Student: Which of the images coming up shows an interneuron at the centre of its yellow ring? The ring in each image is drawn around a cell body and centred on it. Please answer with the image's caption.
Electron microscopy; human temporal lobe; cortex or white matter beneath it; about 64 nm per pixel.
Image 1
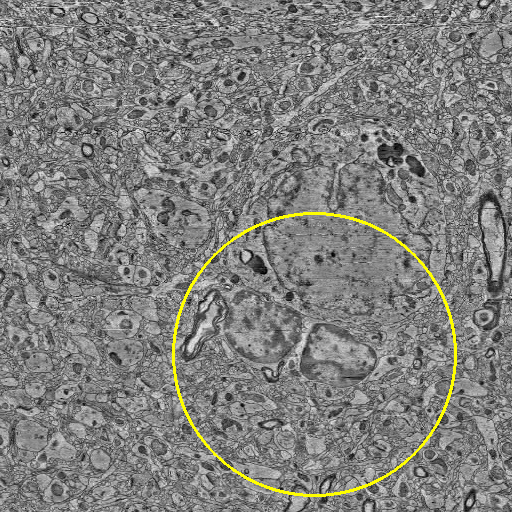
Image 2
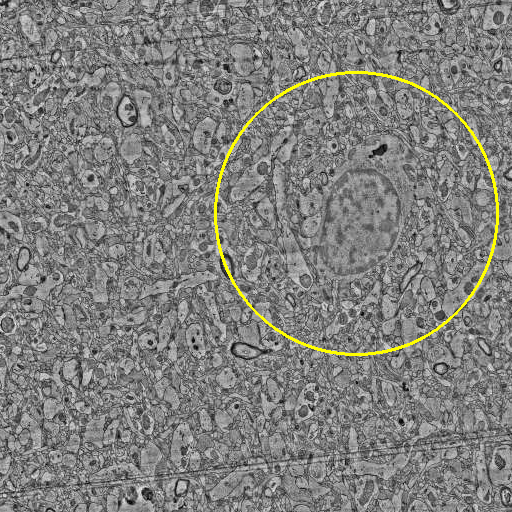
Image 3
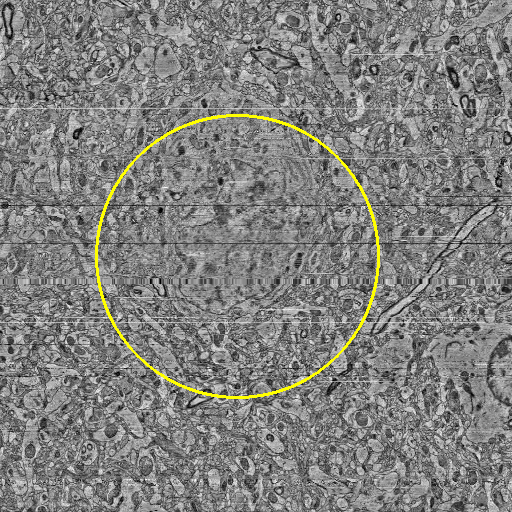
Image 3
